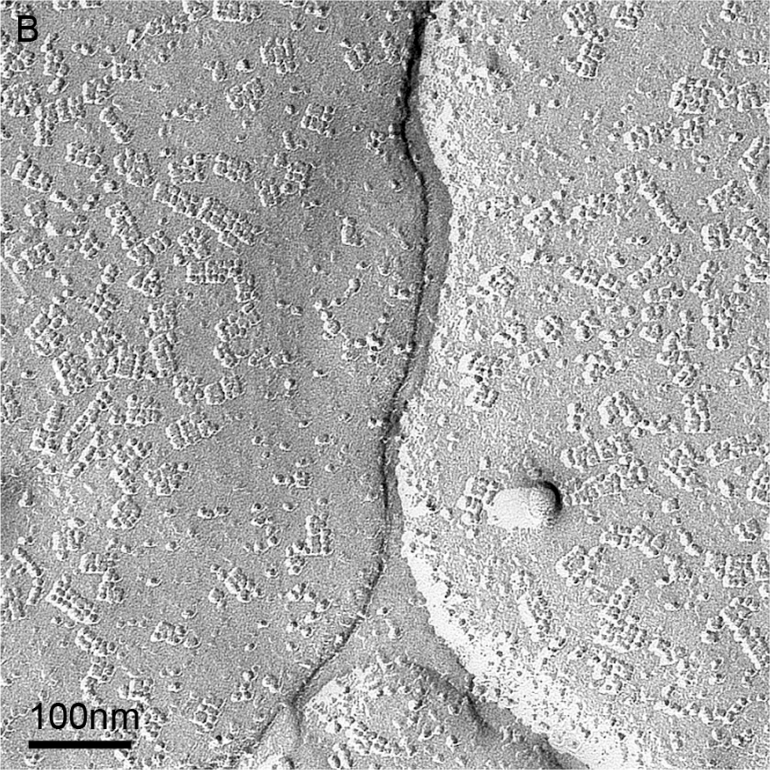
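Freeze-fracture replica of an astrocytic endfoot membrane, with the fracture face densely covered by square and rectangular lattice-like clusters of small intramembrane particles. A curved fracture step crosses the field from top to bottom, separating two membrane faces. A small round raised body with a dark shadow lies on the right-hand face.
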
